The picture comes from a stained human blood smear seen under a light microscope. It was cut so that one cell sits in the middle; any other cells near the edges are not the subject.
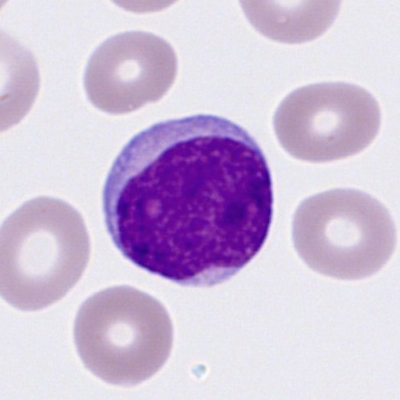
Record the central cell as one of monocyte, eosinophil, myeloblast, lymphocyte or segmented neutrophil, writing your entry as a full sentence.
This crop has a myeloblast at its centre.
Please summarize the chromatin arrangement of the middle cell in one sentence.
Heads up, the chromatin is fine with no coarse clumps in it.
